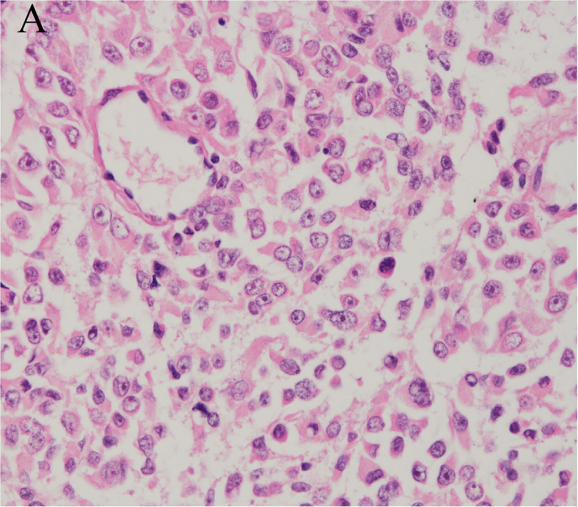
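Sheets of loosely cohesive polygonal tumor cells with pink, eosinophilic cytoplasm lie around a thin-walled vessel at the upper left, with pale clear spaces between groups of cells. The nuclei are round to oval with vesicular chromatin and many show distinct nucleoli, while scattered nuclei are larger, darker and irregular.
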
